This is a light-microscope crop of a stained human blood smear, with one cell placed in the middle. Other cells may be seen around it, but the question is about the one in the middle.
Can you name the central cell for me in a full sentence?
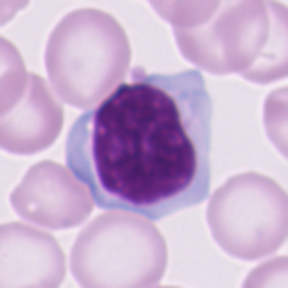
The cell of interest, located centrally, is a typical lymphocyte.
